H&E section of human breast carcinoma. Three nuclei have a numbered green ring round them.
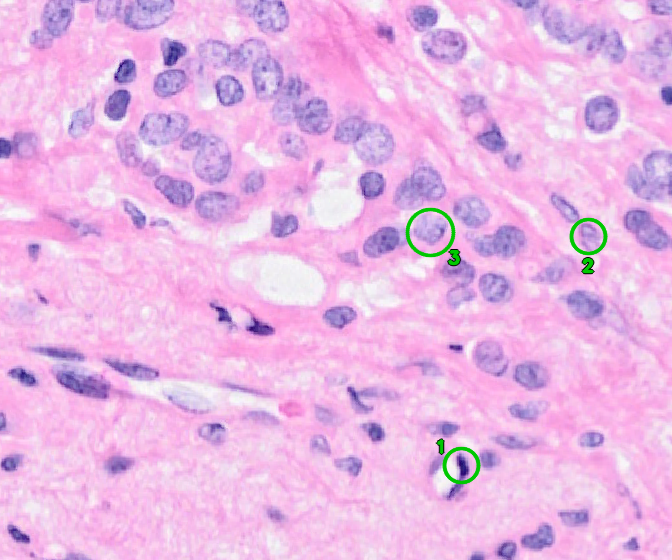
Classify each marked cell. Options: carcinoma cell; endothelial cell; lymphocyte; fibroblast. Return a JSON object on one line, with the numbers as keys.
{"1": "endothelial cell", "2": "endothelial cell", "3": "carcinoma cell"}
